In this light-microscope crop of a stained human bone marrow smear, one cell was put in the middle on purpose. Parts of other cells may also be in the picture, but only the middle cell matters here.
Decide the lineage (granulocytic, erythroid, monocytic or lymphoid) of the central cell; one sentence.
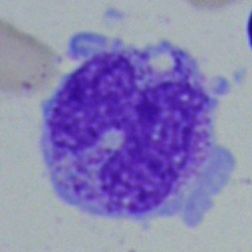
The cell occupying the middle of the crop is classified within the monocytic lineage.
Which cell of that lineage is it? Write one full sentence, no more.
By type, the central cell of the crop is a monocyte.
